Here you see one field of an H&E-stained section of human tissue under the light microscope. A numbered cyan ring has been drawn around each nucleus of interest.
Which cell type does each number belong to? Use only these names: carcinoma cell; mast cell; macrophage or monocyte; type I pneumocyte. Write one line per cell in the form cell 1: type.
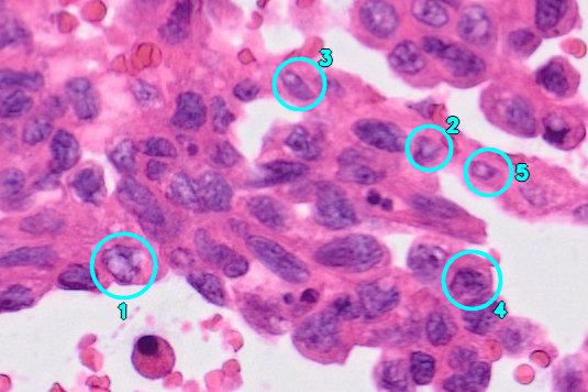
cell 1: carcinoma cell
cell 2: macrophage or monocyte
cell 3: macrophage or monocyte
cell 4: carcinoma cell
cell 5: macrophage or monocyte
